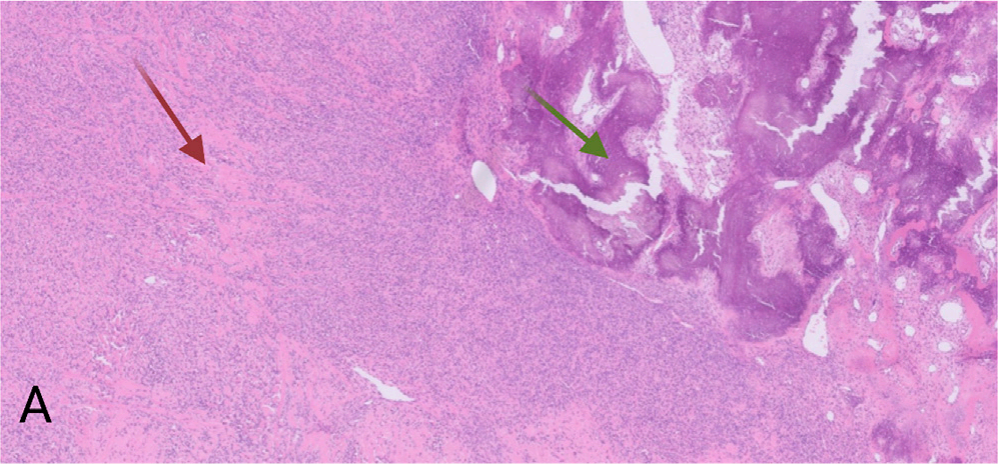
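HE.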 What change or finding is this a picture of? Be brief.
Spindle cell proliferation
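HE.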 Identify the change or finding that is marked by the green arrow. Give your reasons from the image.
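The green arrow points into a region of deep purple, irregular, glassy material on the right. This purple material forms branching trabecula-like islands separated by cracks and pale spaces.
Answer: calcification and ossification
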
